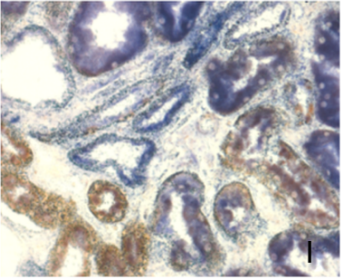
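Kidney tissue with renal tubules cut in cross and oblique section. Many tubules are stained deep blue in their epithelial lining around a clear lumen, while others show brown granular staining. Narrow elongated tubular profiles and interstitium lie between the larger tubules.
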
